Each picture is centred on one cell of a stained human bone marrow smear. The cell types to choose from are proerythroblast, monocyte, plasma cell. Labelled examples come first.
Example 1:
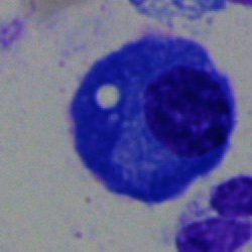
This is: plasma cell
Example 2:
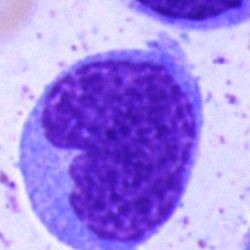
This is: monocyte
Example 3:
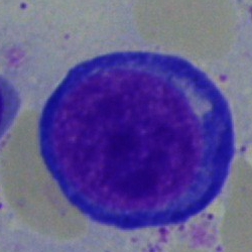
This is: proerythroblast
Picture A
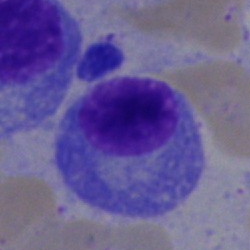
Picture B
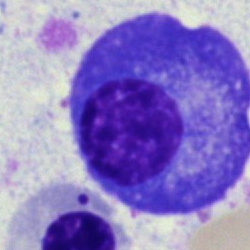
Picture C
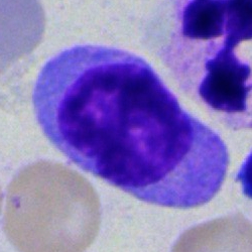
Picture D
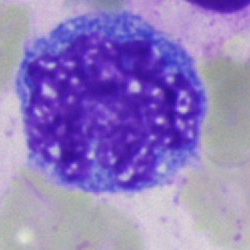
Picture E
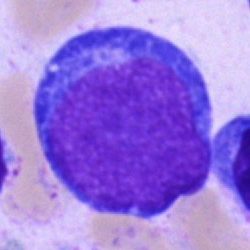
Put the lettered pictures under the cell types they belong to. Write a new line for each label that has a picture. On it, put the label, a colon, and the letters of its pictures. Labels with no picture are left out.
proerythroblast: E
monocyte: C, D
plasma cell: A, B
